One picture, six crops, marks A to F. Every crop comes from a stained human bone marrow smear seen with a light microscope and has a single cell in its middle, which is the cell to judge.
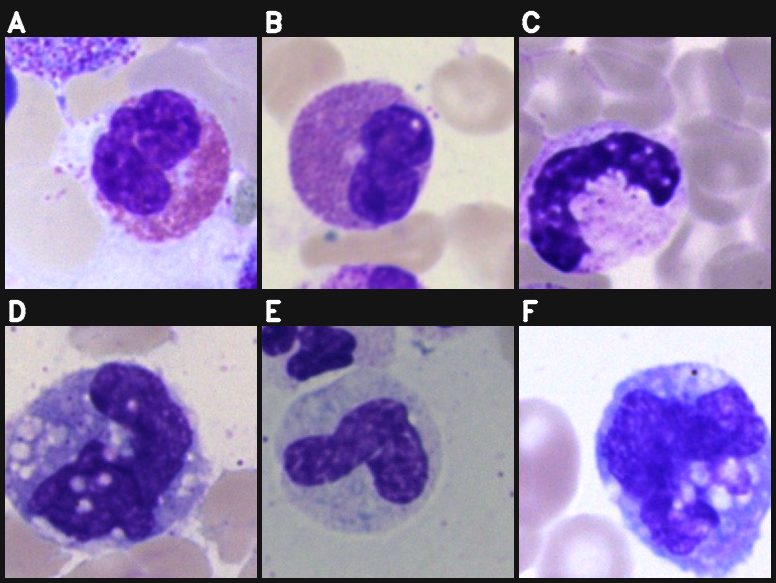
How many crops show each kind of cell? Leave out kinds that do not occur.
eosinophil: 2
band neutrophil: 2
monocyte: 2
